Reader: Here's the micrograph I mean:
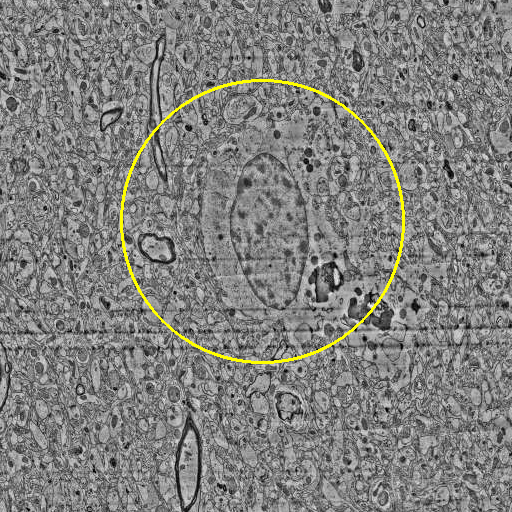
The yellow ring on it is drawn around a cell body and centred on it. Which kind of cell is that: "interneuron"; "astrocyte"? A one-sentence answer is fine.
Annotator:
The ring is centred on an astrocyte.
